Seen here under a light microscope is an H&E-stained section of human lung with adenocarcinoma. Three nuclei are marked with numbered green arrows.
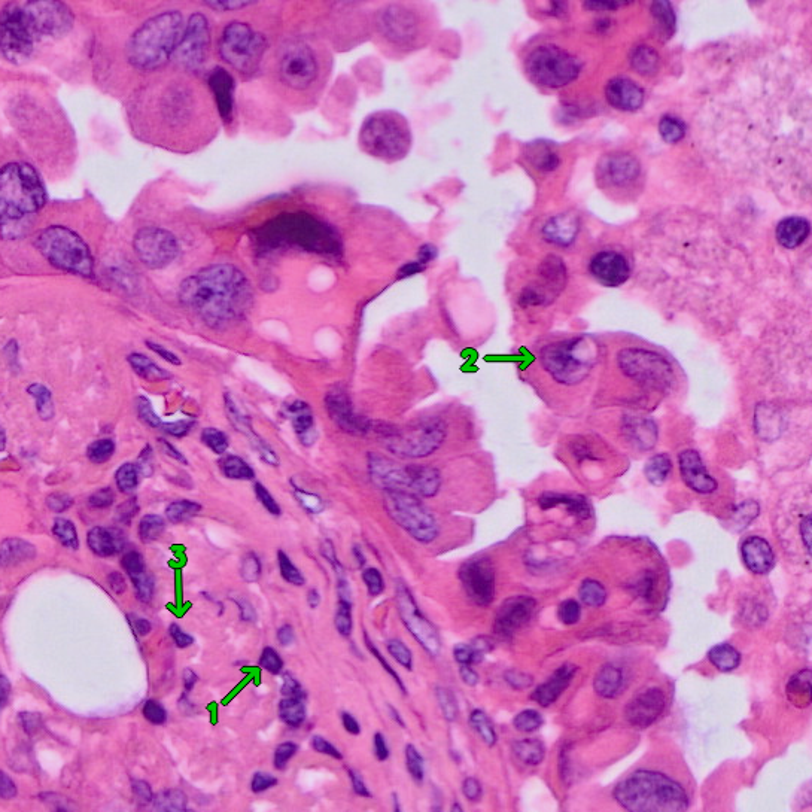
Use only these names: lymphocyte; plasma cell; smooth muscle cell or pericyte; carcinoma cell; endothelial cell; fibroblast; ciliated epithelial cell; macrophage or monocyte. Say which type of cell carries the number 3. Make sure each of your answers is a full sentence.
The marked cell with the number 3 is recognised as a lymphocyte.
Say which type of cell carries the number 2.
The cell numbered 2 has been identified as a carcinoma cell.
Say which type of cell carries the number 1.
The cell whose nucleus carries the number 1 is a lymphocyte.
